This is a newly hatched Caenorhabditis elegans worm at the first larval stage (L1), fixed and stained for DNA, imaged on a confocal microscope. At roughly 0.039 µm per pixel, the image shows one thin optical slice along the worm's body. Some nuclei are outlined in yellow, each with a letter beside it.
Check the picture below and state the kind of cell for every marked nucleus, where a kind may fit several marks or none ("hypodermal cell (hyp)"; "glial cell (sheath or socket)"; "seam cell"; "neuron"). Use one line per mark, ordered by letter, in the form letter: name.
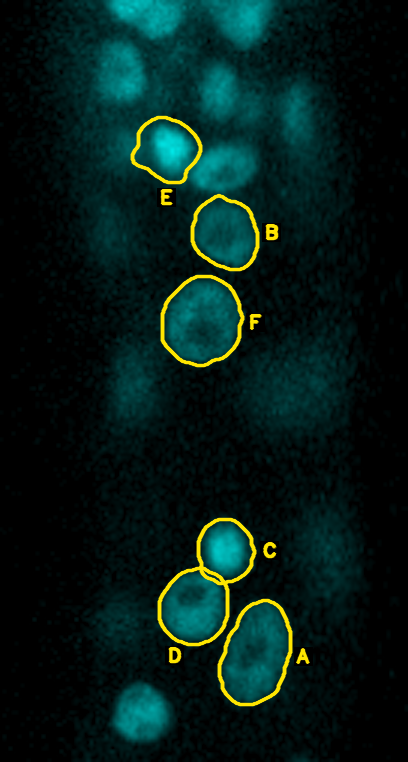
A: hypodermal cell (hyp)
B: hypodermal cell (hyp)
C: neuron
D: seam cell
E: glial cell (sheath or socket)
F: hypodermal cell (hyp)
